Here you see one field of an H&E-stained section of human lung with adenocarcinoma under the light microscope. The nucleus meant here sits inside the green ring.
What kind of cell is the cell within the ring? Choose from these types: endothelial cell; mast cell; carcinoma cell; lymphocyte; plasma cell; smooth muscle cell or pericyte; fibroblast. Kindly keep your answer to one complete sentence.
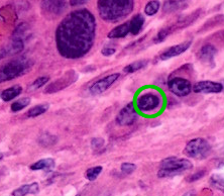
For the purposes of cell typing, the cell within the ring is categorized as a plasma cell.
